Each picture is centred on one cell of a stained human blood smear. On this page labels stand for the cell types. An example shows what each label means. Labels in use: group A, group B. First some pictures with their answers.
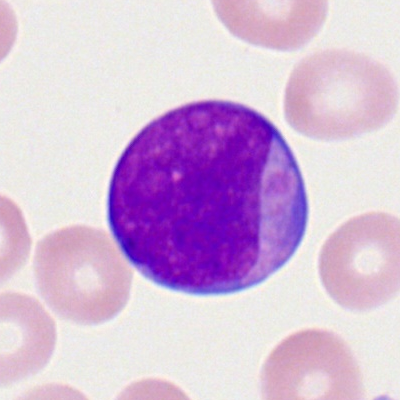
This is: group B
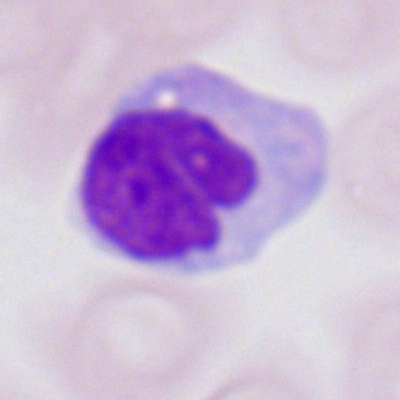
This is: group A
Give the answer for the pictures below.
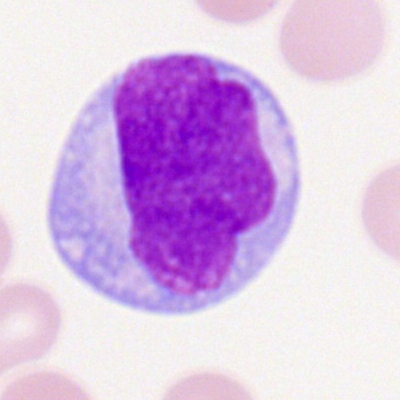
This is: group A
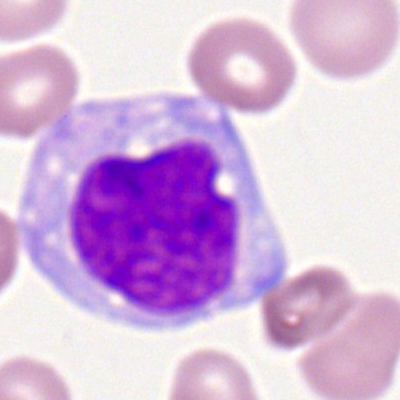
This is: group A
